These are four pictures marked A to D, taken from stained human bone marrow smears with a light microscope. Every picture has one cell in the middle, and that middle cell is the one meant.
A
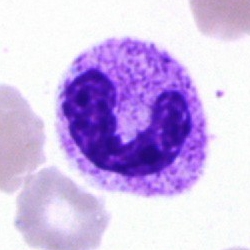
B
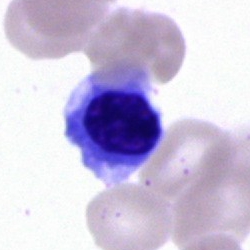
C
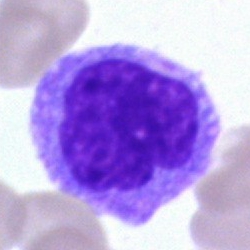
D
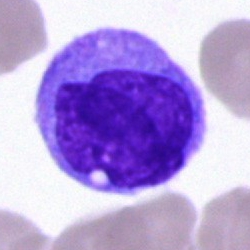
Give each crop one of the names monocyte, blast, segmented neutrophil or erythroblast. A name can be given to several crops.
A: segmented neutrophil
B: erythroblast
C: monocyte
D: blast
